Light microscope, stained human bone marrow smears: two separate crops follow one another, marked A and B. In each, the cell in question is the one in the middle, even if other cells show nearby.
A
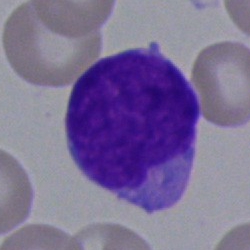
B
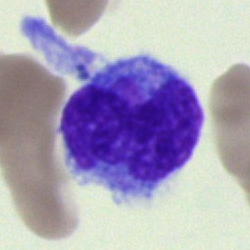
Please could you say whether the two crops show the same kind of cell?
no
